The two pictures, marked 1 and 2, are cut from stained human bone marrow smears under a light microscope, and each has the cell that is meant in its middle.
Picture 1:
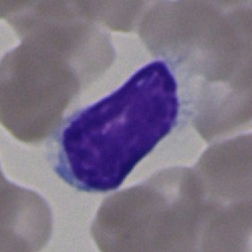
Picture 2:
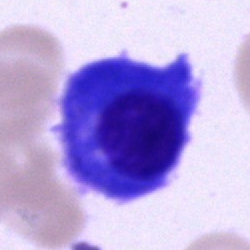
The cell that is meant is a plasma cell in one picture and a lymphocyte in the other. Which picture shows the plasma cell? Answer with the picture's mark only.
2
